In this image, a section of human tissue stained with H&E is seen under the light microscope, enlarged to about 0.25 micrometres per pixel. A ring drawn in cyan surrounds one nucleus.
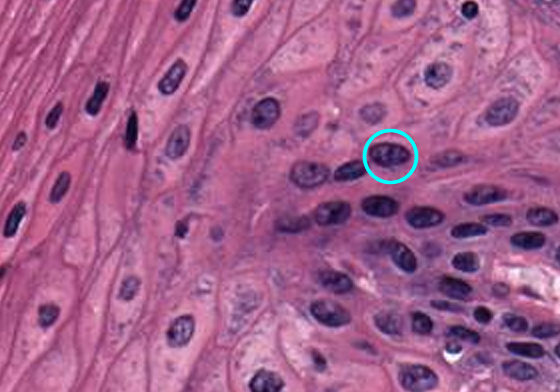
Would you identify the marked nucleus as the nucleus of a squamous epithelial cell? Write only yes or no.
yes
